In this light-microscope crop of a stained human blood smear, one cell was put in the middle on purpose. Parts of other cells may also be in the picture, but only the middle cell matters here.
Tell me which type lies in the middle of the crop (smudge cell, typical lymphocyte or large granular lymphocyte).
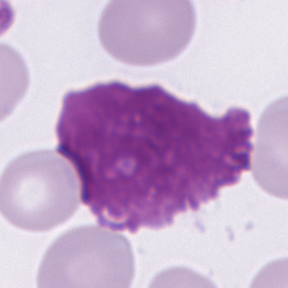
smudge cell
